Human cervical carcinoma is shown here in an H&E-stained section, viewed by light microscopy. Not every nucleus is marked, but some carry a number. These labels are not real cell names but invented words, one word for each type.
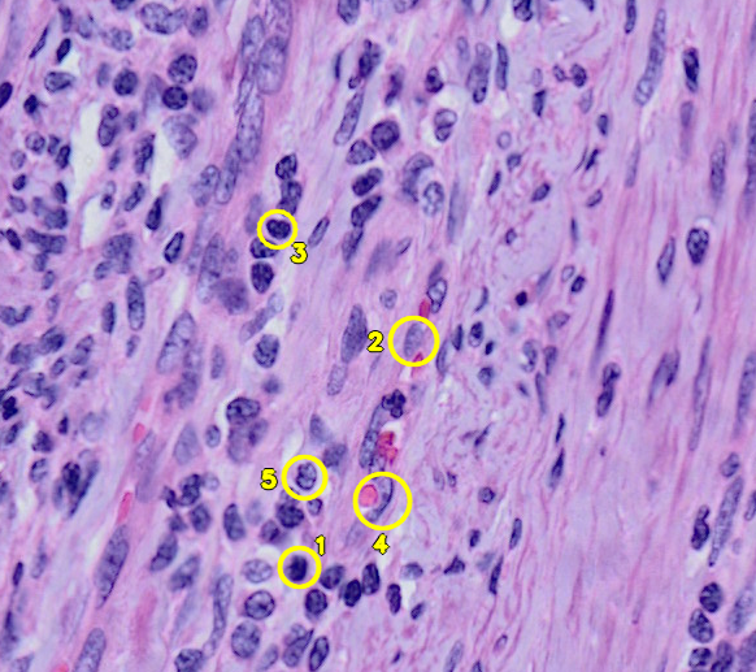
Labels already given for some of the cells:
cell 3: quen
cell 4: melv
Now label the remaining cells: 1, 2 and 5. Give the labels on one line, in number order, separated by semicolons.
quen; melv; quen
